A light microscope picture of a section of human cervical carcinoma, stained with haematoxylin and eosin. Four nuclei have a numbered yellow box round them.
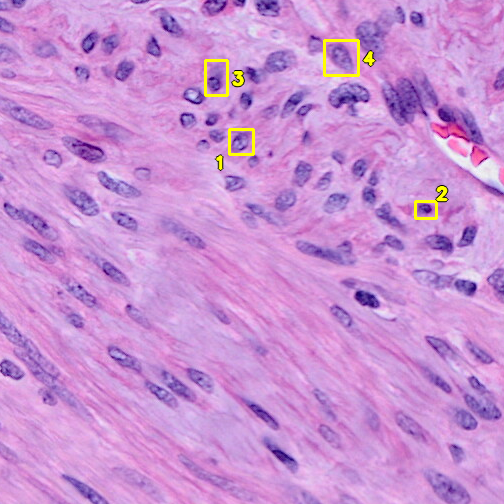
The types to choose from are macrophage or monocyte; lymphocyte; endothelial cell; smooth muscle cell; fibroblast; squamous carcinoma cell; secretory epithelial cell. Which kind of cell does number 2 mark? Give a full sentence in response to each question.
The label 2 in this section denotes a smooth muscle cell.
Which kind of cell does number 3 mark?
Marked with the number 3, this cell is a smooth muscle cell.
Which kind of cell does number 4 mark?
Cell 4 is classified as an endothelial cell.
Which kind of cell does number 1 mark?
Cell 1, among those numbered, is a smooth muscle cell.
